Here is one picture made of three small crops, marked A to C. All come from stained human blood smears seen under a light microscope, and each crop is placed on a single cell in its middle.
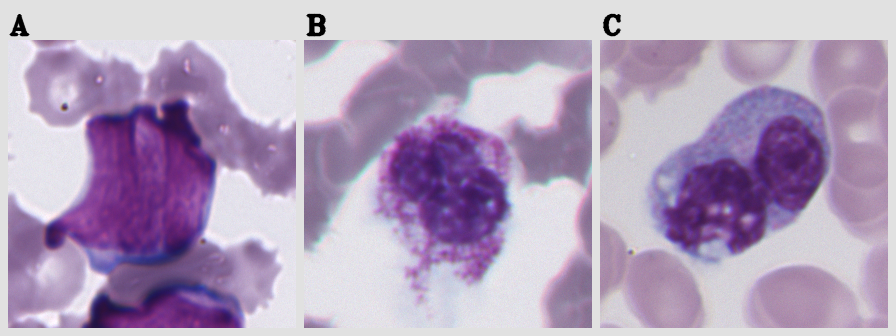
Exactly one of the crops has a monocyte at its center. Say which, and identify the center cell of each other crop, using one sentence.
Crop C is a monocyte; as for the rest, crop A is a myeloblast and crop B is a segmented neutrophil.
